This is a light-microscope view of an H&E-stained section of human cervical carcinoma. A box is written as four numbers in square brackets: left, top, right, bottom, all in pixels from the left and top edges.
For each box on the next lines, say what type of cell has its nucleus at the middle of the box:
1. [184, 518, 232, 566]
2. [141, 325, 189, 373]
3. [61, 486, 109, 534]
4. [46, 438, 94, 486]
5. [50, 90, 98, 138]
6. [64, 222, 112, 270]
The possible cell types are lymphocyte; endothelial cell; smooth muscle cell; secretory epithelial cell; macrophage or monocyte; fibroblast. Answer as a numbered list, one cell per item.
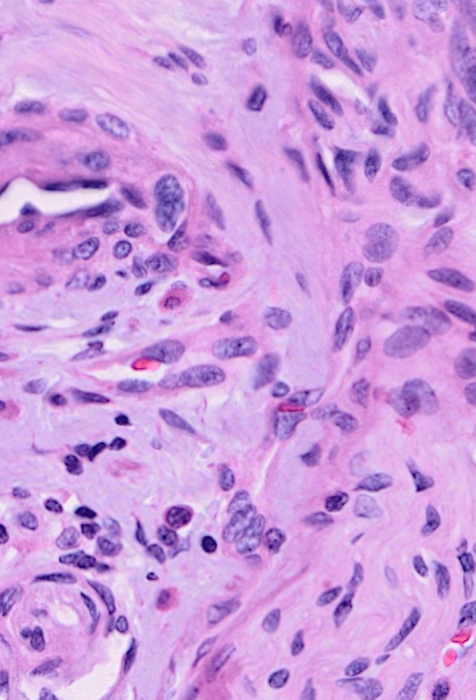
1. lymphocyte
2. endothelial cell
3. lymphocyte
4. lymphocyte
5. smooth muscle cell
6. smooth muscle cell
